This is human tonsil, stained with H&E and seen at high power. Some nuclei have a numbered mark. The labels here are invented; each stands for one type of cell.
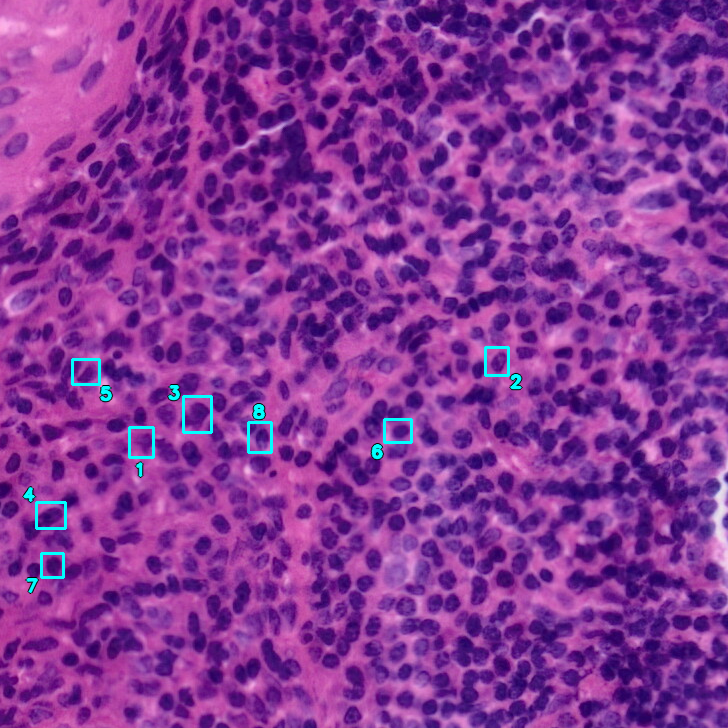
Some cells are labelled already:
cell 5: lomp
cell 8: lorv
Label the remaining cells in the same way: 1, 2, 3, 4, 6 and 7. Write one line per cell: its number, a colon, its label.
1: lomp
2: lorv
3: lomp
4: lorv
6: lorv
7: lorv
